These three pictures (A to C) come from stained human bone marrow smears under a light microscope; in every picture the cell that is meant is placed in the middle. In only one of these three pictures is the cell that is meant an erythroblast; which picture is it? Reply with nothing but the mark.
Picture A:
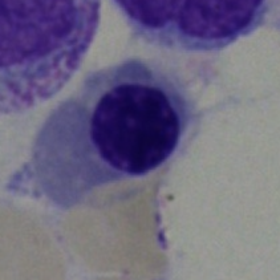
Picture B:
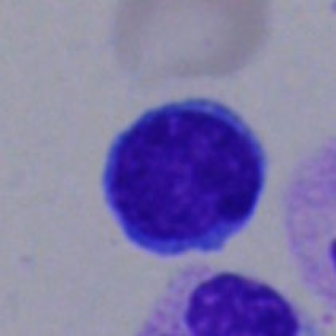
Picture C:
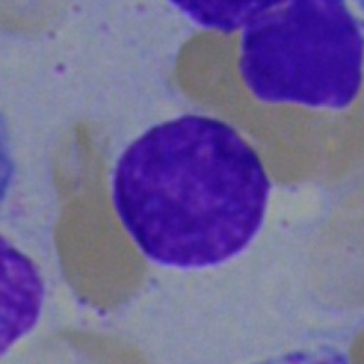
A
